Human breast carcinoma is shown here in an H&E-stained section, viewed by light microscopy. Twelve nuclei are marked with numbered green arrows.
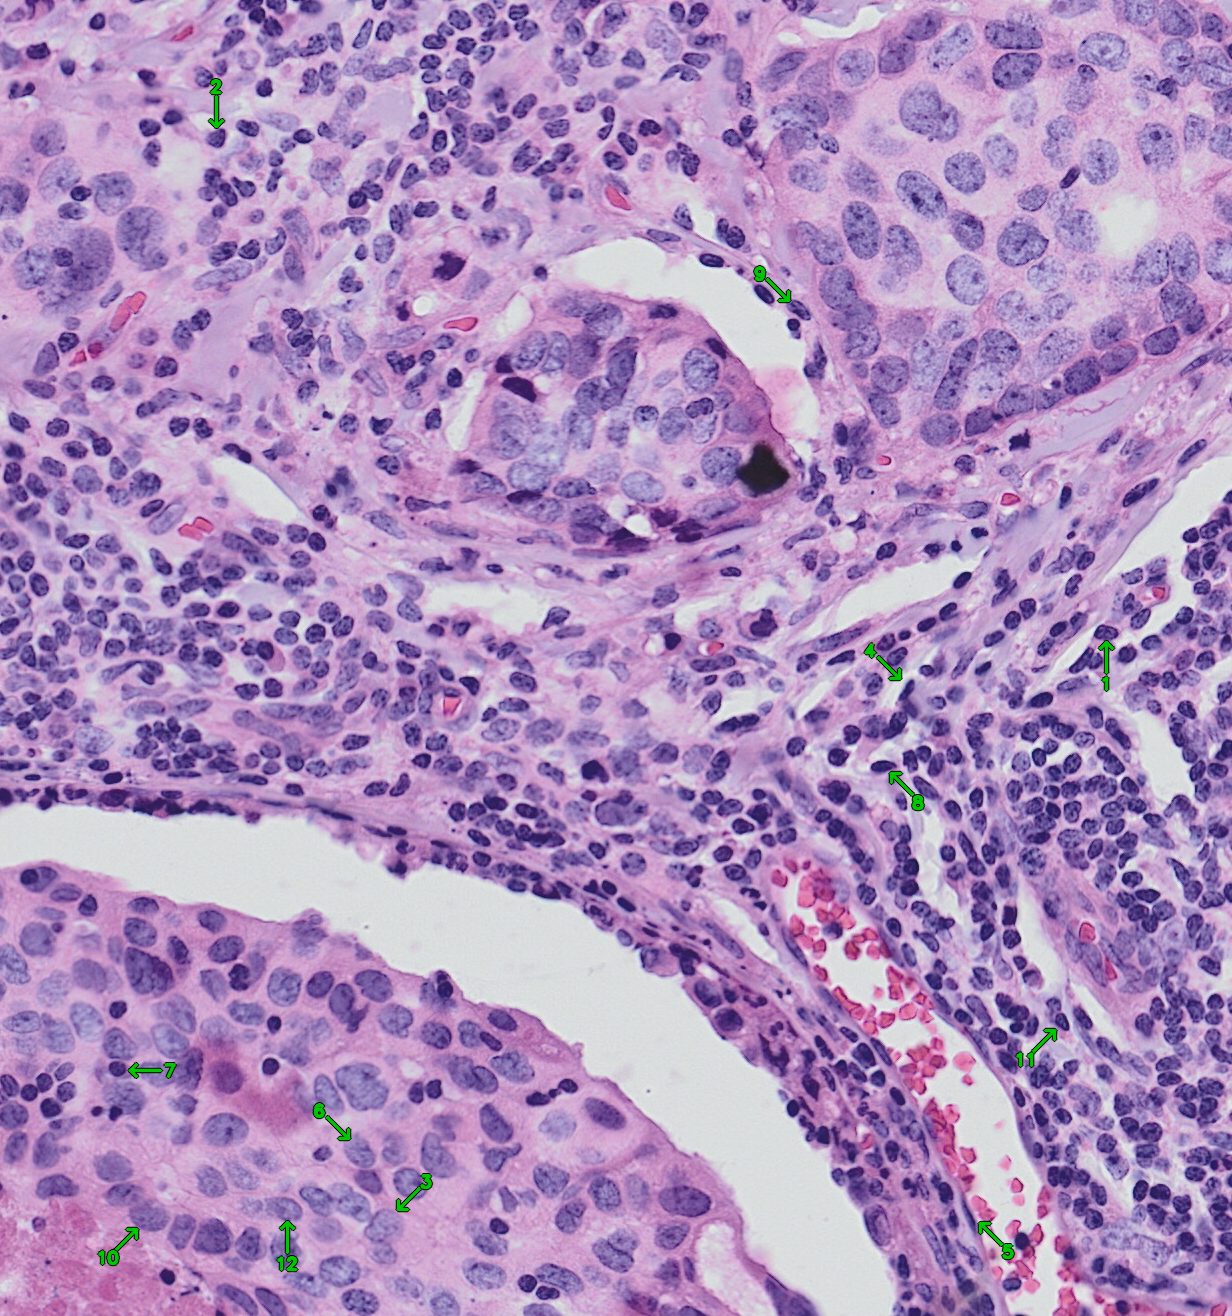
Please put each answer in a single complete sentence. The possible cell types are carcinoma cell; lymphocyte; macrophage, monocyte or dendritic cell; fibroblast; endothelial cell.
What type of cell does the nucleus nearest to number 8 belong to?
The nearest nucleus to number 8 belongs to a lymphocyte.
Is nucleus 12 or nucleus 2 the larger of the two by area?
It is nucleus 12, which covers about 1.5 times the area of nucleus 2.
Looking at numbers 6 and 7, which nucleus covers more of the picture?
Nucleus 6 is larger, with an area about 2.5 times that of nucleus 7.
